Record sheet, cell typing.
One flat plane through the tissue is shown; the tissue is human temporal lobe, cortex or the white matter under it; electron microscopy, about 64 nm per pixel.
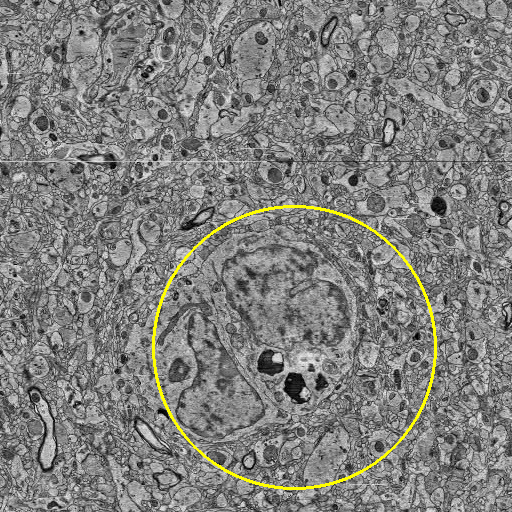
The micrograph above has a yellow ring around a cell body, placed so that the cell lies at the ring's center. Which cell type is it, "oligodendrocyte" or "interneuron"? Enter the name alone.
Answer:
interneuron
